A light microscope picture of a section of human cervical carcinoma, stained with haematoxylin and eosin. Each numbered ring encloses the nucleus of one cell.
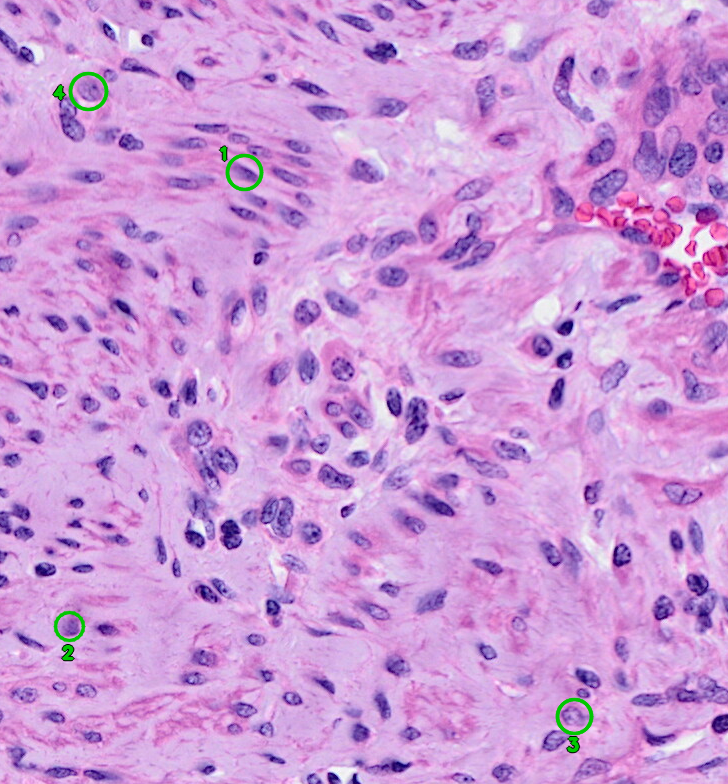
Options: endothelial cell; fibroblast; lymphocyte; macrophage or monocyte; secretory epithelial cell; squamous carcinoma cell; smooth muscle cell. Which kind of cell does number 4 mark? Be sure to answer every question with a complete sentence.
The cell assigned the number 4 is an endothelial cell.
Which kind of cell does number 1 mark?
The marked cell bearing number 1 is a smooth muscle cell.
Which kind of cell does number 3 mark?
In this section, number 3 marks a smooth muscle cell.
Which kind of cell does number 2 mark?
Cell 2, among those numbered, is a smooth muscle cell.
